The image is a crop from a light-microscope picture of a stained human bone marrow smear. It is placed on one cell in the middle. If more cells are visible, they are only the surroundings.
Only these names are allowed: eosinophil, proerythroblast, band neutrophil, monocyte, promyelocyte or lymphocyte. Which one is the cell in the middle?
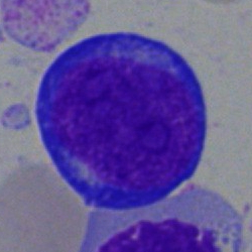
proerythroblast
